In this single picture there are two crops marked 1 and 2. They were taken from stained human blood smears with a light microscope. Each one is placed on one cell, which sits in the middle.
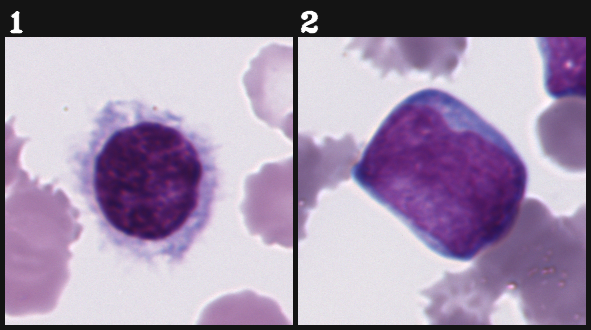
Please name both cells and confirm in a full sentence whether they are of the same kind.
No, the cell shown in crop 1 is a hairy cell, and the cell shown in crop 2 is a myeloblast.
